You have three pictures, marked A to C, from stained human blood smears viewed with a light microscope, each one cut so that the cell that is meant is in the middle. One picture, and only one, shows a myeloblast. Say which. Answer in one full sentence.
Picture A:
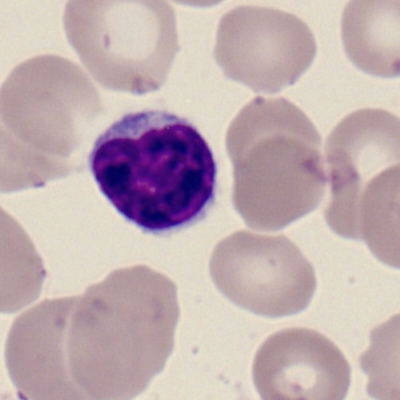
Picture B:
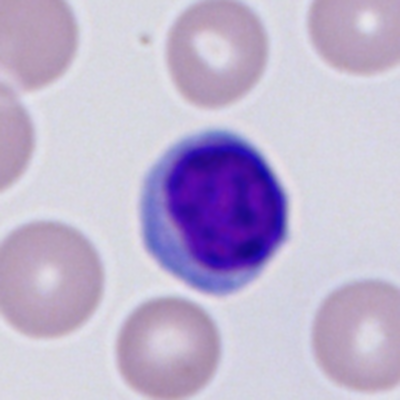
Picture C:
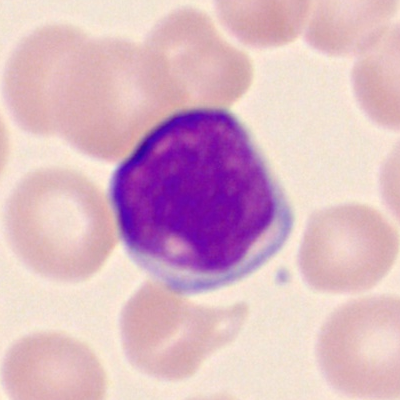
Picture C shows the myeloblast.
